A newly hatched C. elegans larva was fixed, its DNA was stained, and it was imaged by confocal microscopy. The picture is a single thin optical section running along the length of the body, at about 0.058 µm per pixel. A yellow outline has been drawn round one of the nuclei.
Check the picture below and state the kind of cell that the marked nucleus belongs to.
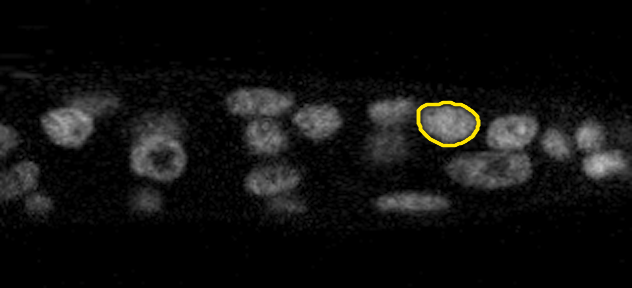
enteric muscle cell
